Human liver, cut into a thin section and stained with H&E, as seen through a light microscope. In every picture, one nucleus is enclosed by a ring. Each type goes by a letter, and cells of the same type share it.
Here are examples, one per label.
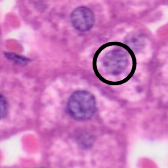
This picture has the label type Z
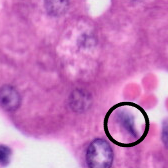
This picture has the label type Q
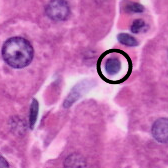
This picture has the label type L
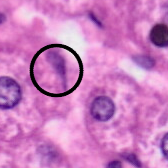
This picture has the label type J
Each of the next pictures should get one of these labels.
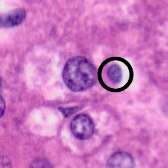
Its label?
type L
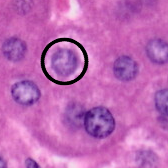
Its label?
type Z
